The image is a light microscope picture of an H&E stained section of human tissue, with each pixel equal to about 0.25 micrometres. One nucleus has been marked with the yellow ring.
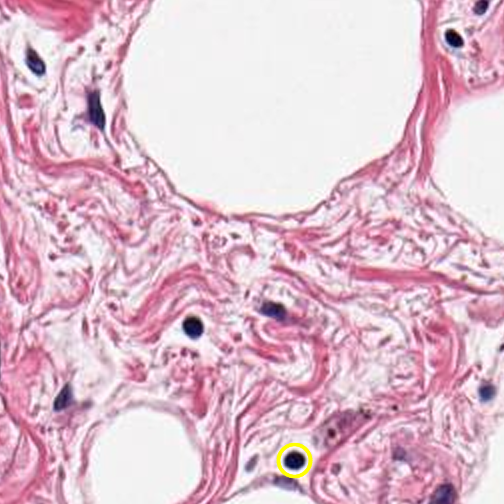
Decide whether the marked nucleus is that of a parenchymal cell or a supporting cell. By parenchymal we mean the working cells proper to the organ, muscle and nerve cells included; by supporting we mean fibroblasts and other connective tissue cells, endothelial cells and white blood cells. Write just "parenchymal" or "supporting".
supporting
